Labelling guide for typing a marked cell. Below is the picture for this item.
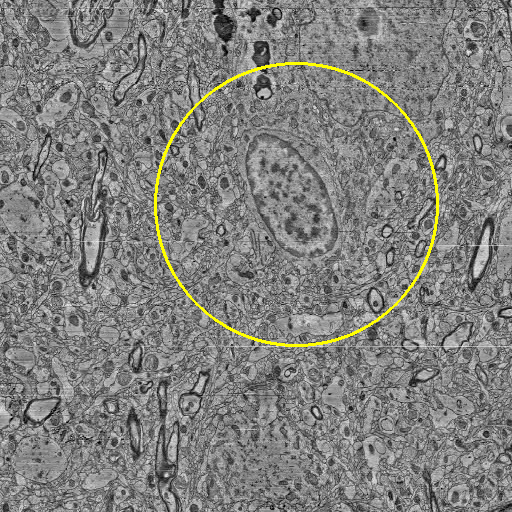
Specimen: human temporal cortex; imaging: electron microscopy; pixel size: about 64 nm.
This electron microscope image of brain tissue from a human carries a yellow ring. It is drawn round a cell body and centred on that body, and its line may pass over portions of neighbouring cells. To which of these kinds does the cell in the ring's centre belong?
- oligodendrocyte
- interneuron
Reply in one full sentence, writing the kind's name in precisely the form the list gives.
Here we have an oligodendrocyte at the centre of the yellow ring in the picture.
